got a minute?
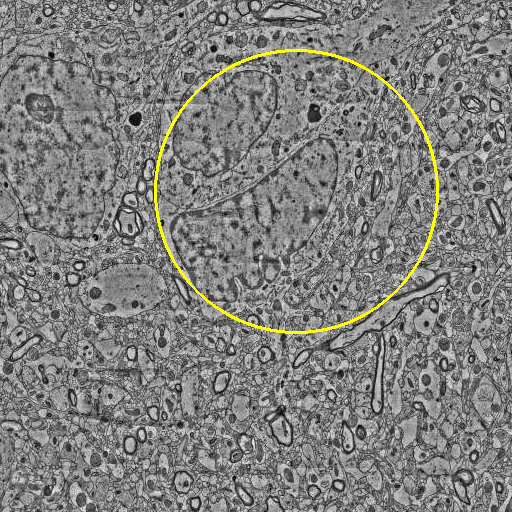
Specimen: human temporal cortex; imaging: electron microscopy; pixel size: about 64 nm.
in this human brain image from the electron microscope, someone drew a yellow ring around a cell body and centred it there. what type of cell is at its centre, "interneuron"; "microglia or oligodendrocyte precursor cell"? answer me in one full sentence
It's a microglial cell or oligodendrocyte precursor cell at the middle of that yellow ring in the shot.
